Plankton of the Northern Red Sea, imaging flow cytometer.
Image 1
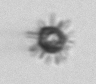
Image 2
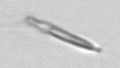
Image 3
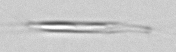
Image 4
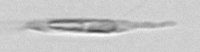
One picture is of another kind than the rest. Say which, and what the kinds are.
Picture 1 shows Rhabdosphaera; the rest show Calciosolenia.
